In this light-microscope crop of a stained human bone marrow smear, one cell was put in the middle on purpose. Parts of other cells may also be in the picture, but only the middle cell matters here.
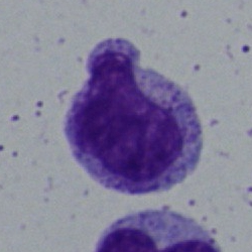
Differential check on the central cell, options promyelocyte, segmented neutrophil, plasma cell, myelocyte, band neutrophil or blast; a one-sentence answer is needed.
The center cell of this crop is a myelocyte.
